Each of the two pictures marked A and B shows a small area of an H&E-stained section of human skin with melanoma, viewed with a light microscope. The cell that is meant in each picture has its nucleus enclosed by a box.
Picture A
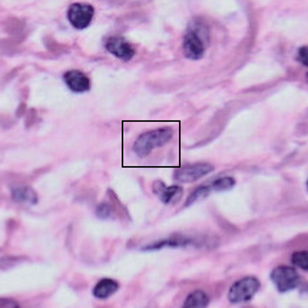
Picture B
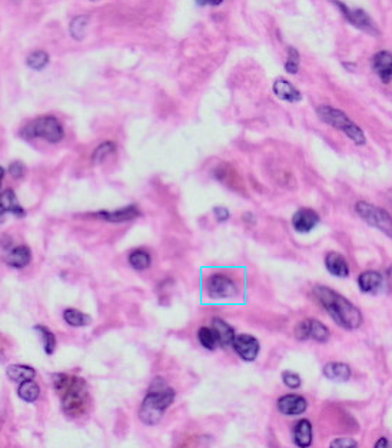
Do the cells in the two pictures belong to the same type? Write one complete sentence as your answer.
Yes, both are “macrophages or monocytes”.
